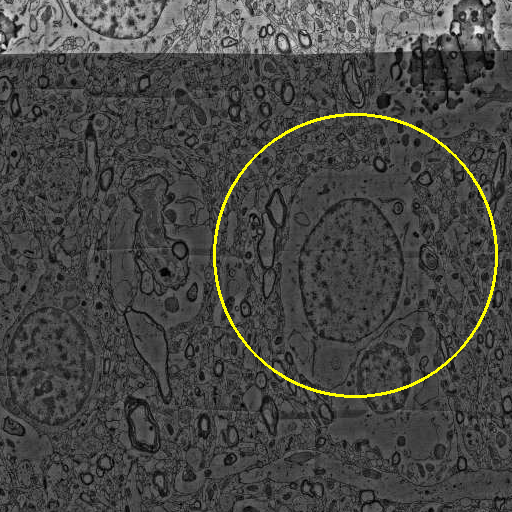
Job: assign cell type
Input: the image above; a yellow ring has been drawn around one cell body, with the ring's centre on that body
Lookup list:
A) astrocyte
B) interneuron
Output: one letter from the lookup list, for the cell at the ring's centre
A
